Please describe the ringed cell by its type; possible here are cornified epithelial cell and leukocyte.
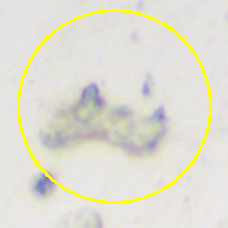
The yellow ring marks a cornified epithelial cell.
